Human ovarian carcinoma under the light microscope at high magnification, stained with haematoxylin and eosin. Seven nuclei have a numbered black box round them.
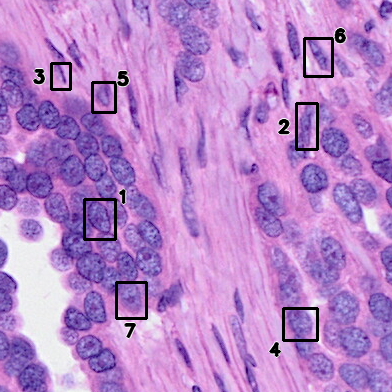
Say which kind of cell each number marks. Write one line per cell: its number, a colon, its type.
1: carcinoma cell
2: fibroblast
3: fibroblast
4: carcinoma cell
5: fibroblast
6: fibroblast
7: carcinoma cell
